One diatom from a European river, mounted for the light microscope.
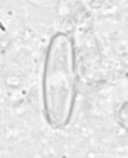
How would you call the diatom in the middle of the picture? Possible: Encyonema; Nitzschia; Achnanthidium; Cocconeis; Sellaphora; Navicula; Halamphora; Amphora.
I would call it Sellaphora.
